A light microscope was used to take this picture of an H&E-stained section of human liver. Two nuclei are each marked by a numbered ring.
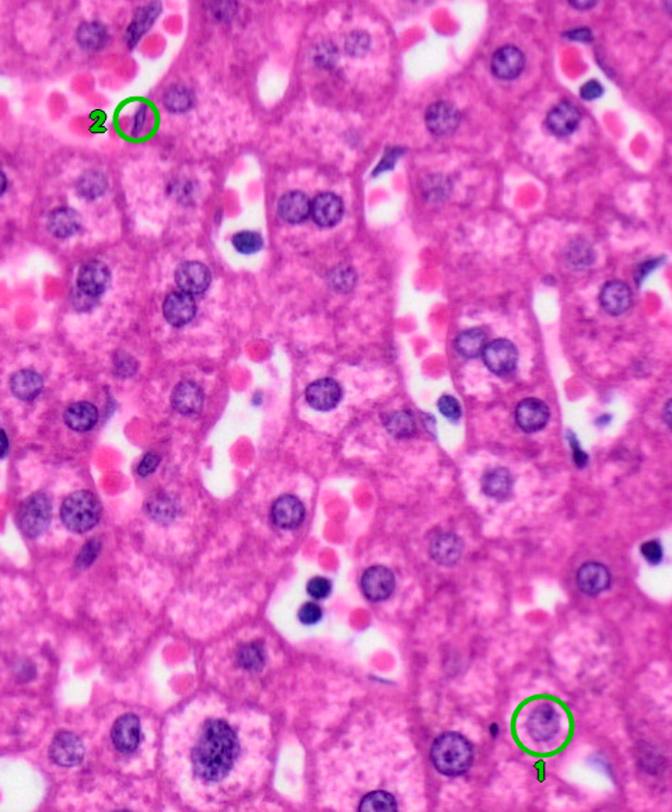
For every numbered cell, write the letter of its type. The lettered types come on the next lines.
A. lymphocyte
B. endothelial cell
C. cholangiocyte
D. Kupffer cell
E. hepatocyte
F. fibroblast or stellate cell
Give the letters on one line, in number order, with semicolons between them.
E; B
